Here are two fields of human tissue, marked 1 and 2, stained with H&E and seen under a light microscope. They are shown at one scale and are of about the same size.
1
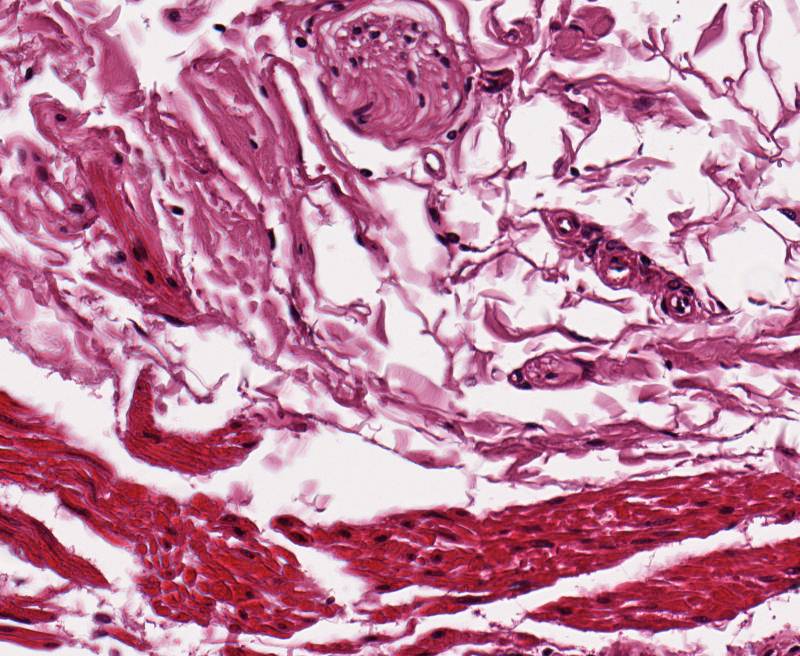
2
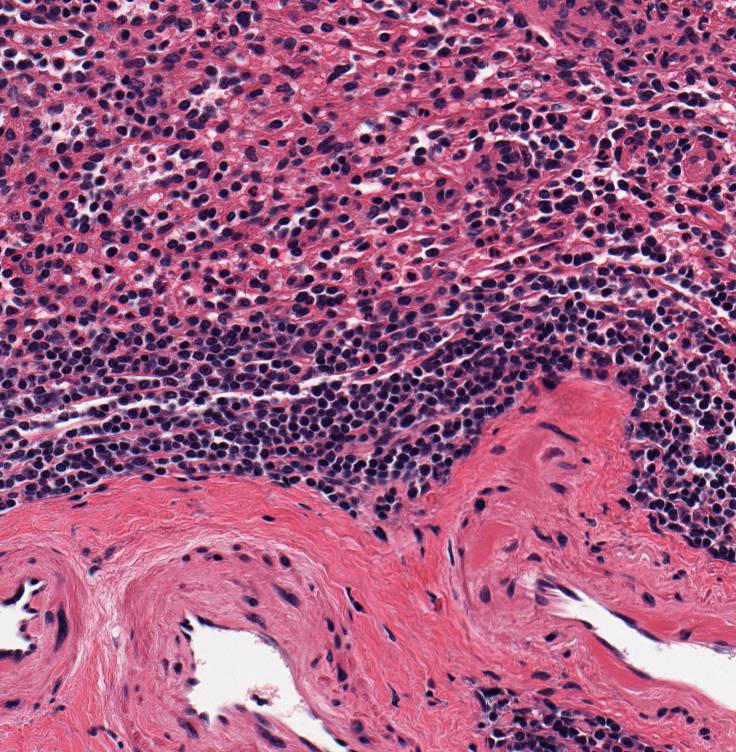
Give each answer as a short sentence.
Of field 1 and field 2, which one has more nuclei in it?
Field 2 holds more nuclei than field 1.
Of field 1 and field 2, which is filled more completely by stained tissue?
Less of field 2 is empty and white.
